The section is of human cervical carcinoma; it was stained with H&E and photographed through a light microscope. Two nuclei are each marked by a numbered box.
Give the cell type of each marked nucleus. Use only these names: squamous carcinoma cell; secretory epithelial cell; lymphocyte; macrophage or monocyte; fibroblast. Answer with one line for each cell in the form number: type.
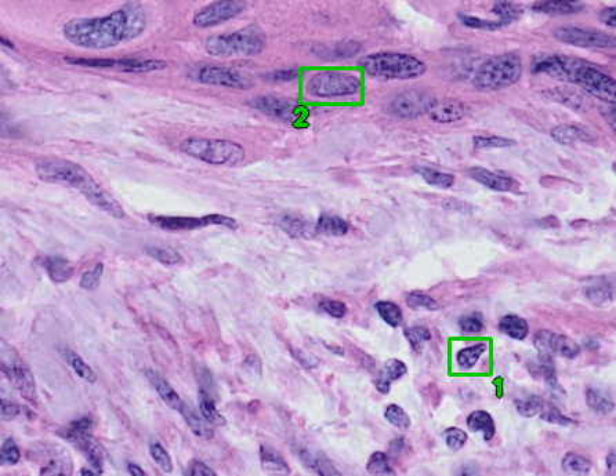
1: lymphocyte
2: squamous carcinoma cell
